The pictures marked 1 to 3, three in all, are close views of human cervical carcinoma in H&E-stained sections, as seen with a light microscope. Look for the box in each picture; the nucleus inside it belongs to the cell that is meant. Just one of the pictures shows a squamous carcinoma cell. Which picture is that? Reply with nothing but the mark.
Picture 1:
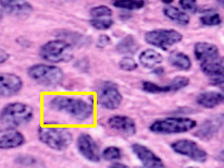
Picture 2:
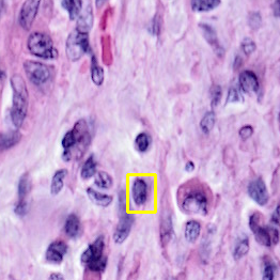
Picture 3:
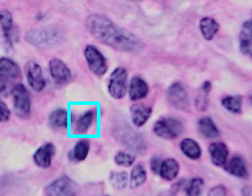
1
